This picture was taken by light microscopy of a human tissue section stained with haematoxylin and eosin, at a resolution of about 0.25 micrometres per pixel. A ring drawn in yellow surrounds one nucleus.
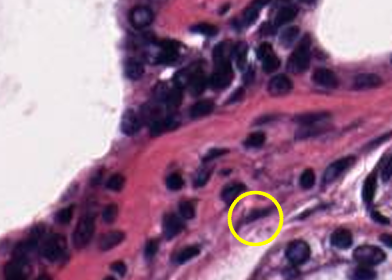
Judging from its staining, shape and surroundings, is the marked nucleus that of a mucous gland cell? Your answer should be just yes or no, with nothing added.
no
